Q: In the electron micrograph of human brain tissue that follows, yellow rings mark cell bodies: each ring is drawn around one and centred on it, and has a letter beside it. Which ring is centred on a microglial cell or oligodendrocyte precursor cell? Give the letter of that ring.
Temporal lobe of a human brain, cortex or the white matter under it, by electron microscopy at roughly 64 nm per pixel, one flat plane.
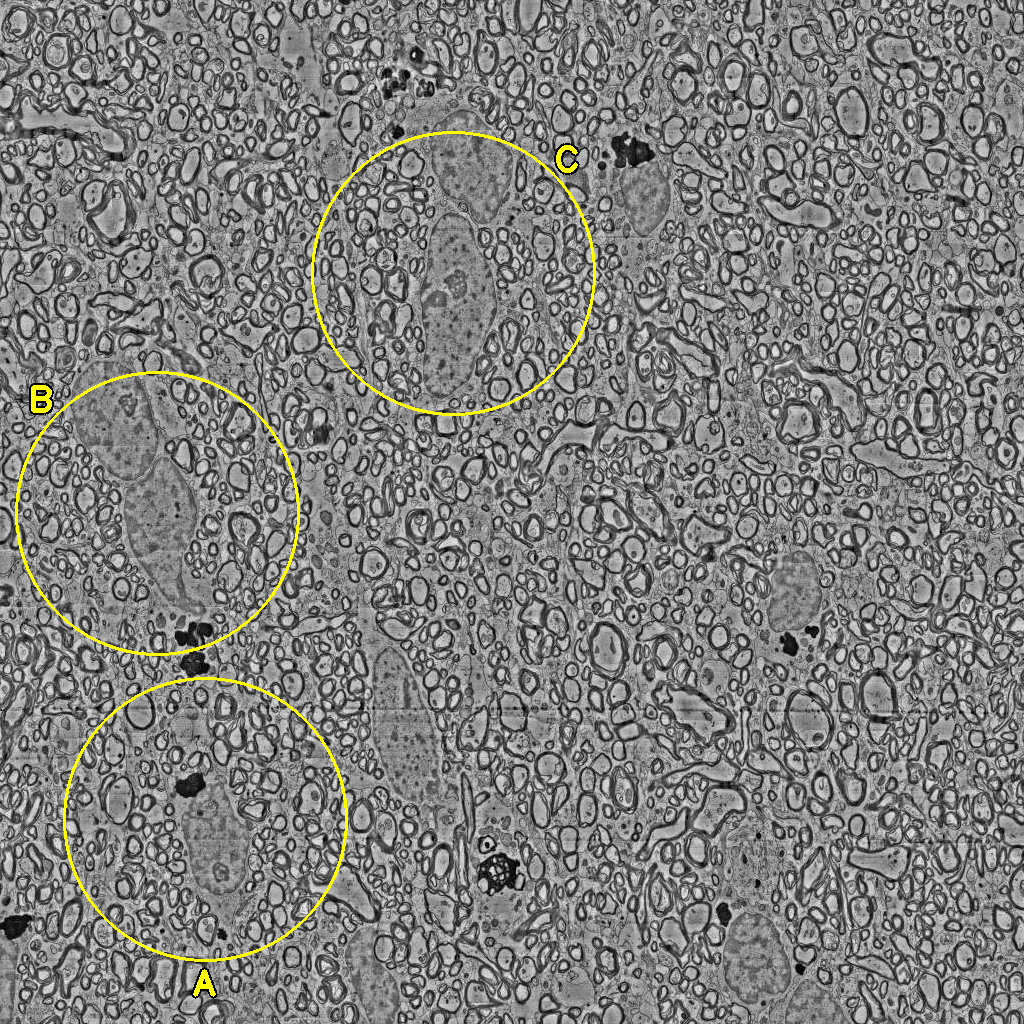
C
